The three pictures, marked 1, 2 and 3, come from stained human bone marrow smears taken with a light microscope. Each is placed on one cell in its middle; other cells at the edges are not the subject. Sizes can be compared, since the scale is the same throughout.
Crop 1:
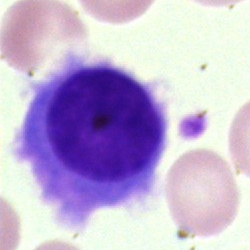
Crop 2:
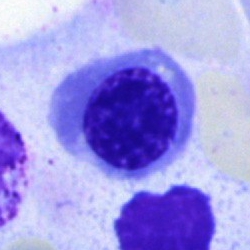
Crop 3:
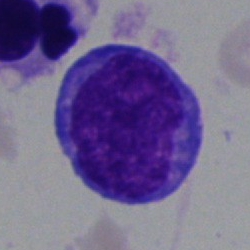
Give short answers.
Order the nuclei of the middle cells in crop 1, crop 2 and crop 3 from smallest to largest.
2, 1, 3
